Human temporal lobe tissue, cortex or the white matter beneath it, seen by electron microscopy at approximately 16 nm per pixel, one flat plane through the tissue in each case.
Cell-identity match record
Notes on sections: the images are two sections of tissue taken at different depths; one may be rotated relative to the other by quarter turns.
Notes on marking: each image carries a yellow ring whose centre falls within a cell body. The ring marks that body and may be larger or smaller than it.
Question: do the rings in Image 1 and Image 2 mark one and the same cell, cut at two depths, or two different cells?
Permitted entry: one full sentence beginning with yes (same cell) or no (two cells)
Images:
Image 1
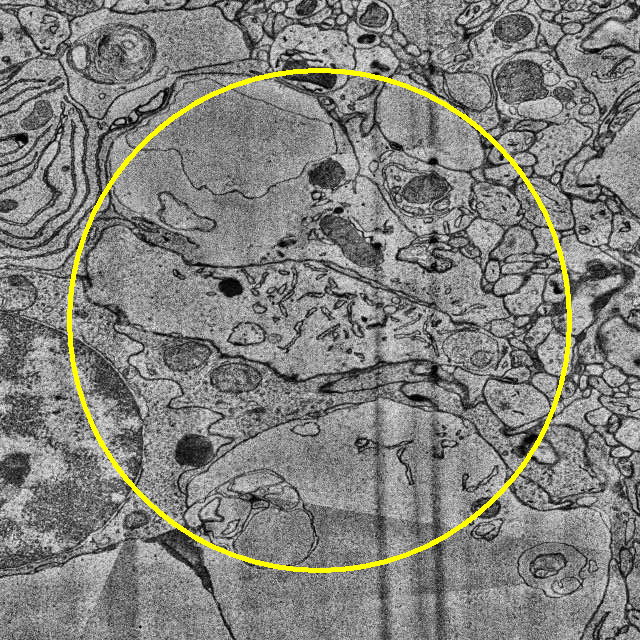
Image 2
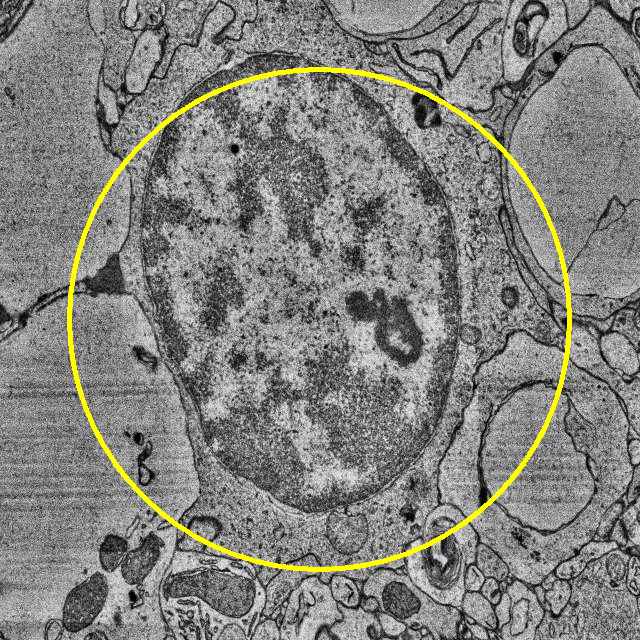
Yes, the same individual cell is enclosed by both rings.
